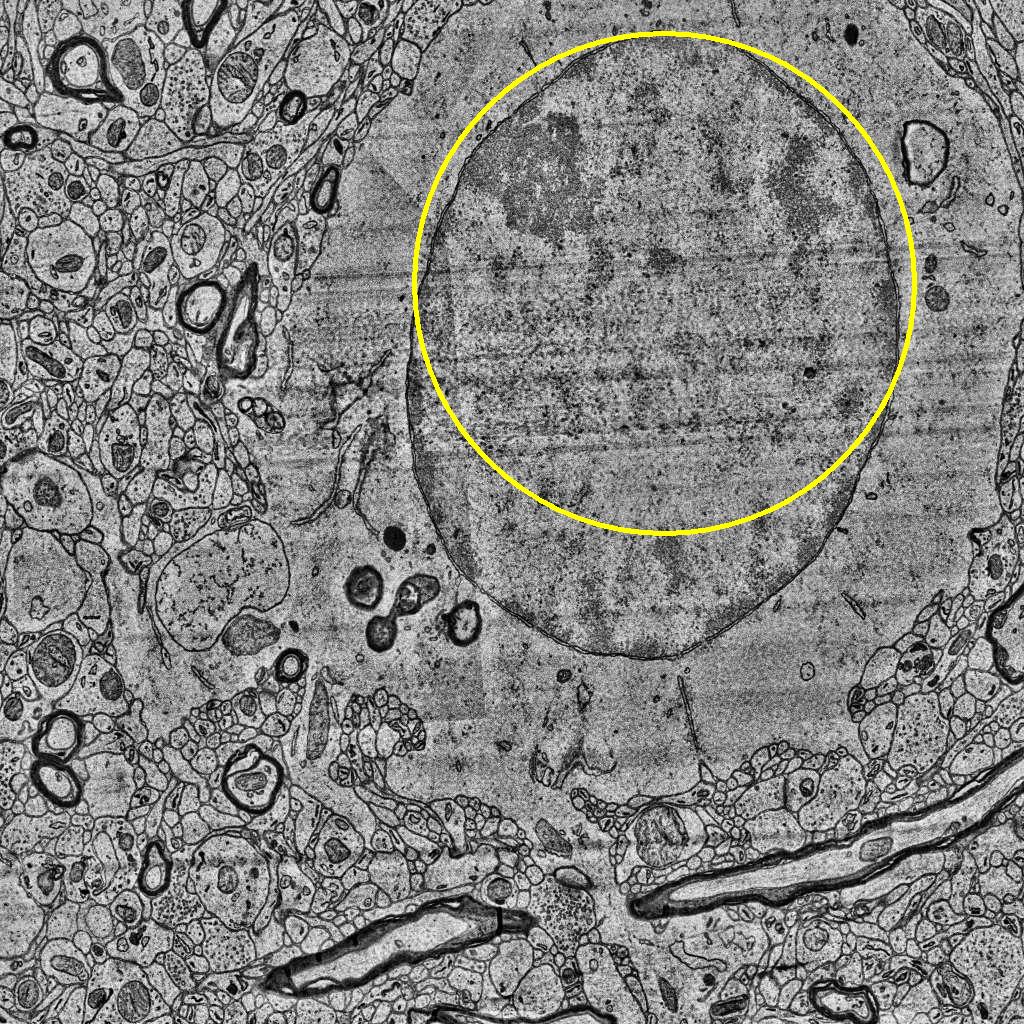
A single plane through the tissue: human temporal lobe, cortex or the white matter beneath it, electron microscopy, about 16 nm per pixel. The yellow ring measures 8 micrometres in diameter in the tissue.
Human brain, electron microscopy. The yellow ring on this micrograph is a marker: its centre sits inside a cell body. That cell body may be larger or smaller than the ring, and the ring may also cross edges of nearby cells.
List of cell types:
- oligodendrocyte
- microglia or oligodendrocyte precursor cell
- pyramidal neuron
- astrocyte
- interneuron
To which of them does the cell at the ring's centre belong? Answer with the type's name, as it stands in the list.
astrocyte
